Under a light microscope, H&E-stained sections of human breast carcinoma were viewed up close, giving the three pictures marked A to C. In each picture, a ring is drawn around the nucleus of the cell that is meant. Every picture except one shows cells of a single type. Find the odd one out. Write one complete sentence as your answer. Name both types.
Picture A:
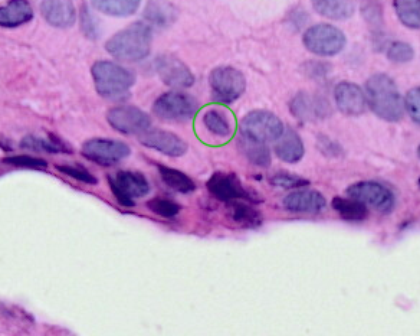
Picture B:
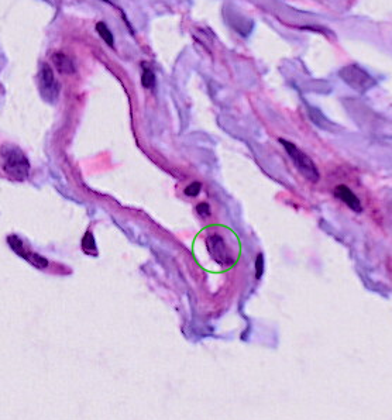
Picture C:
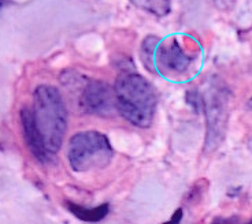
Picture A is the odd one out: it shows a carcinoma cell, while the others show endothelial cells.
